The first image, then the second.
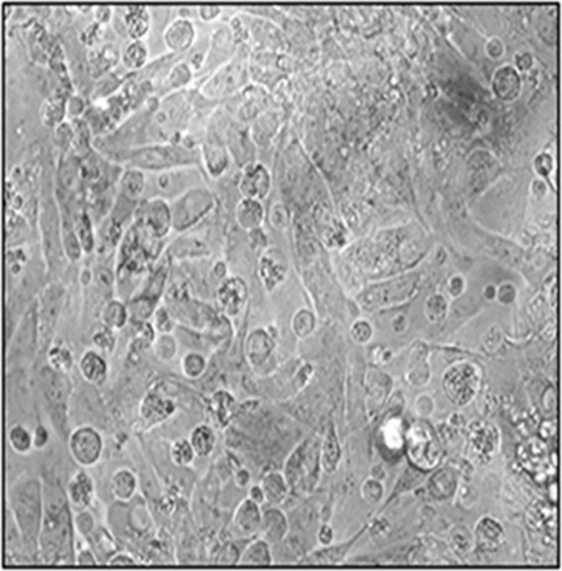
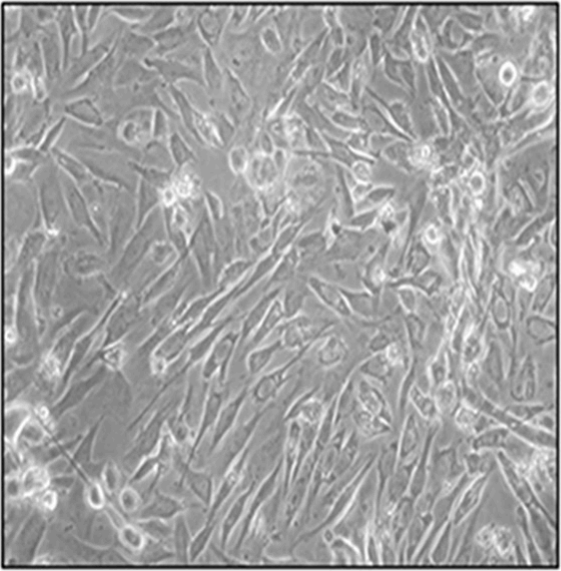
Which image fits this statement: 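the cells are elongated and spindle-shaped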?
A: the second image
